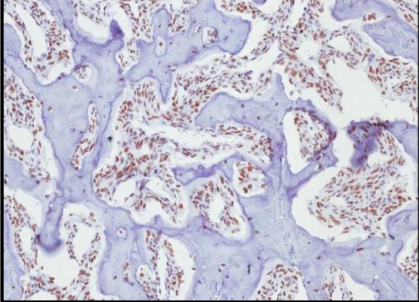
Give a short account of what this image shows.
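The trabeculae are broad and haphazardly anastomosing rather than forming orderly plates, and a few cells sit enclosed within the matrix. The cells between the trabeculae are closely packed, often streaming in bundles, with elongated to oval nuclei. Most of these nuclei are stained brown, with differing intensity from cell to cell, while cytoplasm and the matrix stay unstained or pale blue. Small clear spaces lie along the edges of the matrix.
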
